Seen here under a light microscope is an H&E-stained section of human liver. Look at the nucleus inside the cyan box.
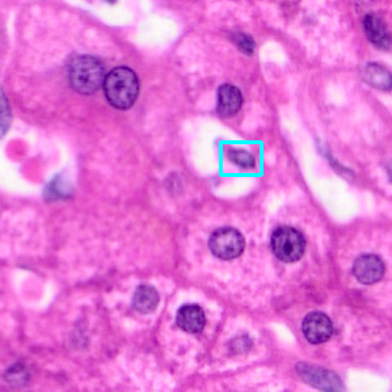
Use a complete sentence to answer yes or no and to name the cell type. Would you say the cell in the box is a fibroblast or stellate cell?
No, as classified here, the cell in the box is a Kupffer cell and not a fibroblast or stellate cell.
